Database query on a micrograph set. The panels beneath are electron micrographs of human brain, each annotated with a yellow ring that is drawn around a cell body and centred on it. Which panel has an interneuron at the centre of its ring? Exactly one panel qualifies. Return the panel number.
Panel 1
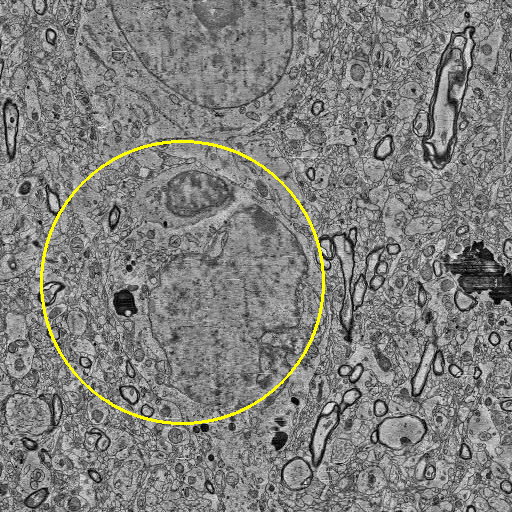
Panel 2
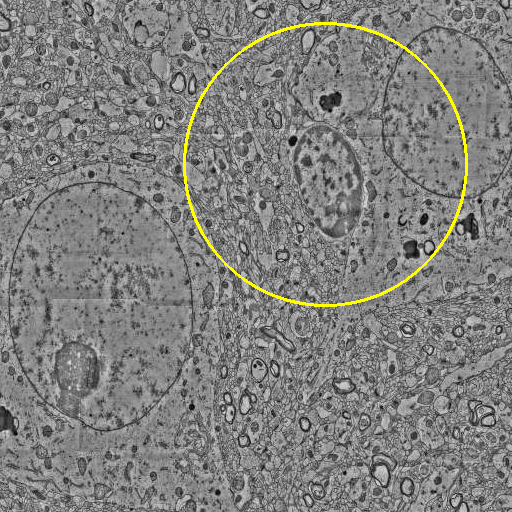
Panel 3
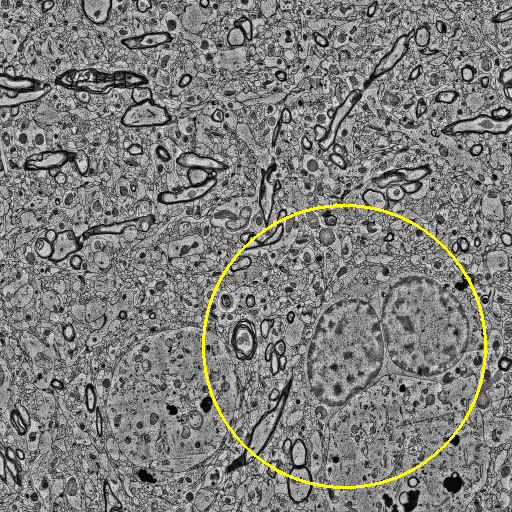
1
